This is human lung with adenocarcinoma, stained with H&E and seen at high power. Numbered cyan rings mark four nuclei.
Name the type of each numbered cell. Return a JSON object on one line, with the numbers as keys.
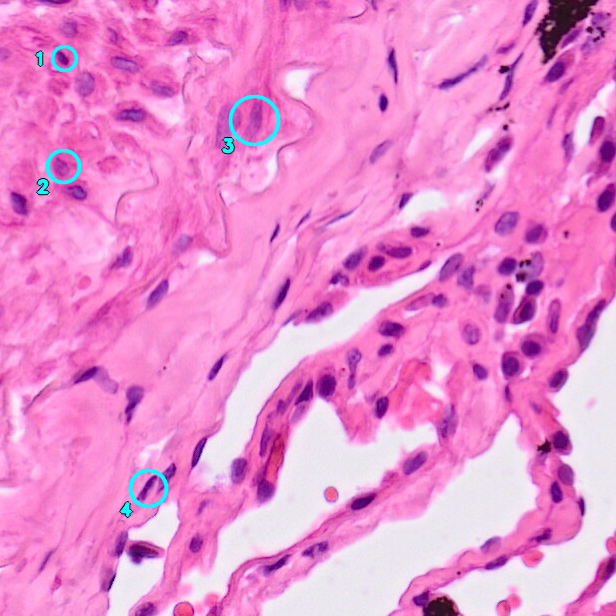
{"1": "smooth muscle cell or pericyte", "2": "smooth muscle cell or pericyte", "3": "smooth muscle cell or pericyte", "4": "fibroblast"}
